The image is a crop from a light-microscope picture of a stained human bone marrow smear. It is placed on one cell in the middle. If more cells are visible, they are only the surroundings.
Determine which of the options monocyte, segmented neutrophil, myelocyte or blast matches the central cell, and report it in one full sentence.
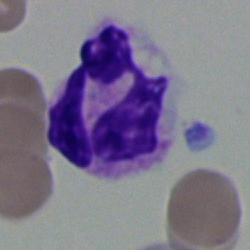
This particular crop is centered on a segmented neutrophil.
